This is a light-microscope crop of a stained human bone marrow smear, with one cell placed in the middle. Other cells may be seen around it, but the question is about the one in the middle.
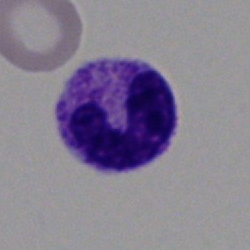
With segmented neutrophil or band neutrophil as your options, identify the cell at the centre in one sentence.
The central cell shown in this smear crop is a band neutrophil.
